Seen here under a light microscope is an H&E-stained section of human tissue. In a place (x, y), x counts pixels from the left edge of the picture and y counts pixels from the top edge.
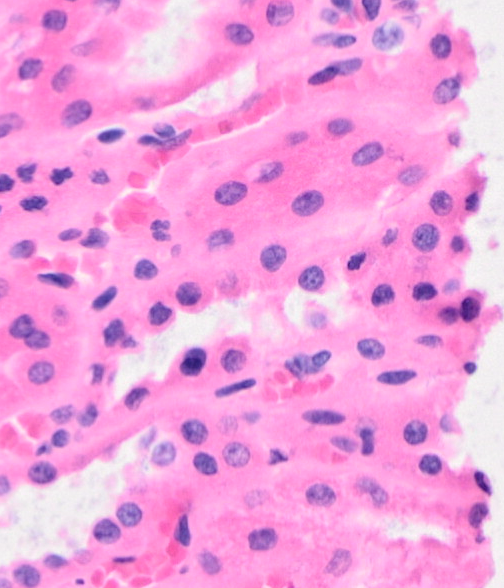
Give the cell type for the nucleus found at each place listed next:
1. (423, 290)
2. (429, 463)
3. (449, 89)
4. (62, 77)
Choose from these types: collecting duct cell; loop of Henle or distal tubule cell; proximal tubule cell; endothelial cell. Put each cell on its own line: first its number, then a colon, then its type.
1: loop of Henle or distal tubule cell
2: loop of Henle or distal tubule cell
3: loop of Henle or distal tubule cell
4: proximal tubule cell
